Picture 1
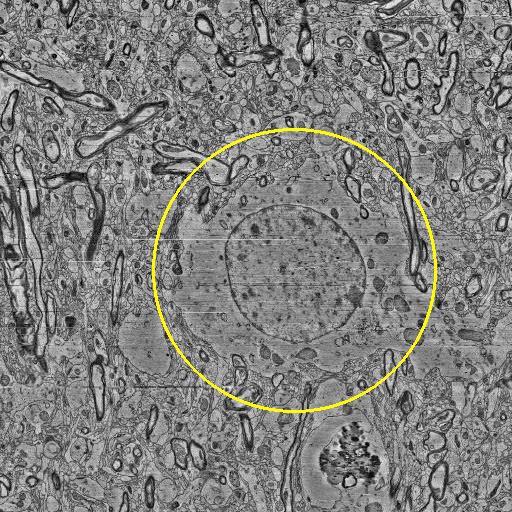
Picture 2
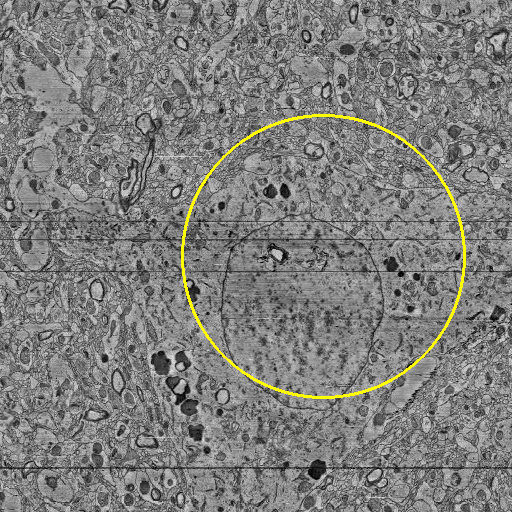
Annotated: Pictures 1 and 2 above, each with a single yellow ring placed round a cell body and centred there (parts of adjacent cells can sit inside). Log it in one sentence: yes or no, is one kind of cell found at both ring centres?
No, the ring centres of the two pictures hold cells of two kinds.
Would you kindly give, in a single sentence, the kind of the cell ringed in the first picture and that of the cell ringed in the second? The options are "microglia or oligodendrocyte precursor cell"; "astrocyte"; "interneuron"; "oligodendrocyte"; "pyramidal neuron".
The second cell is a pyramidal neuron, and the first cell is an astrocyte.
